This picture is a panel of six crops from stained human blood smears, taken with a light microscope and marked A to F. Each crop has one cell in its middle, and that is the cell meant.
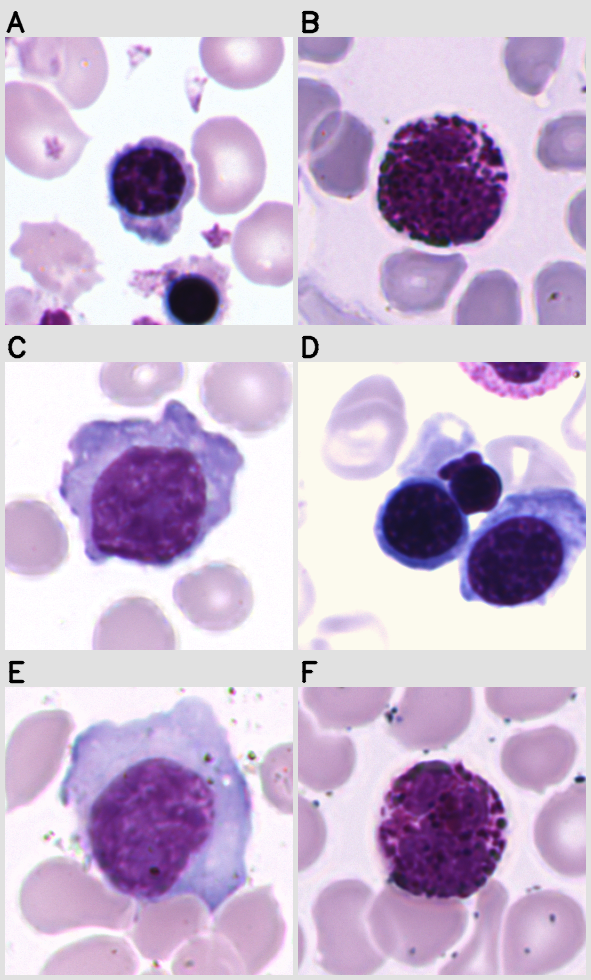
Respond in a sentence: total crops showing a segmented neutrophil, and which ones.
So far as segmented neutrophils go, the crops show none, and the count is zero.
